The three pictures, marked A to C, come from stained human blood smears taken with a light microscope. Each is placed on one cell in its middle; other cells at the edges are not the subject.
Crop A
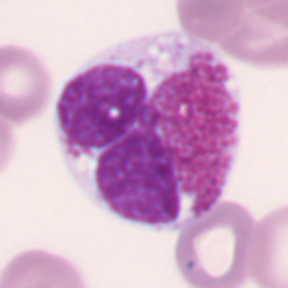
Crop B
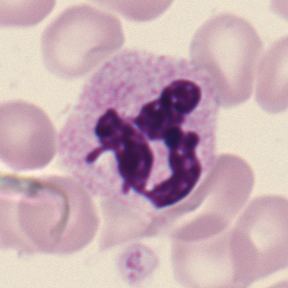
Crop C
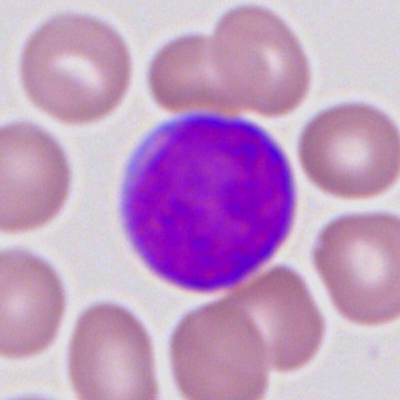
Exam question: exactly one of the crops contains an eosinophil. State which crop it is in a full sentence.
Among the crops, only crop A contains an eosinophil.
